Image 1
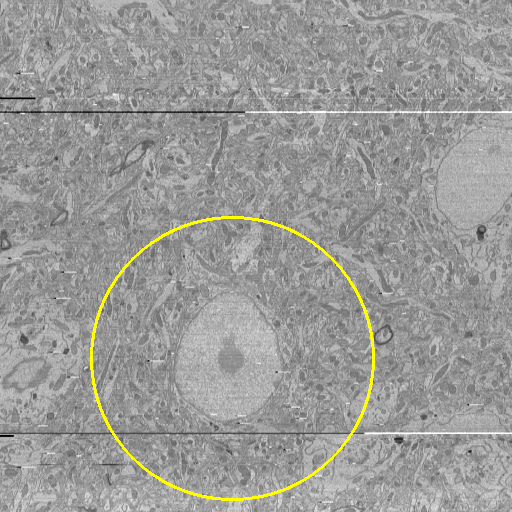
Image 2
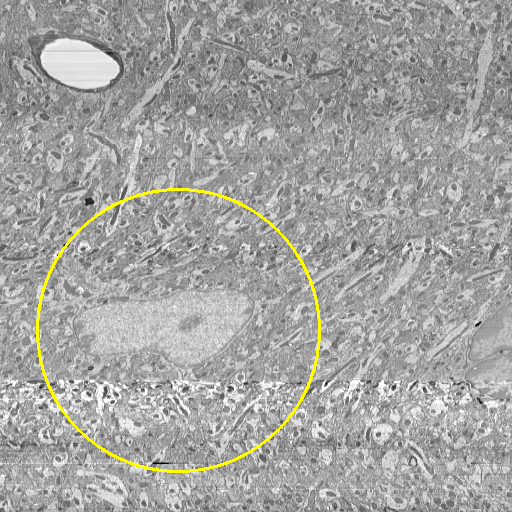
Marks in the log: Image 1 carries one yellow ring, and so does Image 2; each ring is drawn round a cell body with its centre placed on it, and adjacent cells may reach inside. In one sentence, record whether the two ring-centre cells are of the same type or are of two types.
The two cells at the ring centres, one in each image, are of the same type.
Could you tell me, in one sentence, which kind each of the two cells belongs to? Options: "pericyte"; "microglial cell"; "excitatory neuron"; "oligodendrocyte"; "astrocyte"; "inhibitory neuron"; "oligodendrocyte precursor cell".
Both cells are the same kind, each one being an astrocyte.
